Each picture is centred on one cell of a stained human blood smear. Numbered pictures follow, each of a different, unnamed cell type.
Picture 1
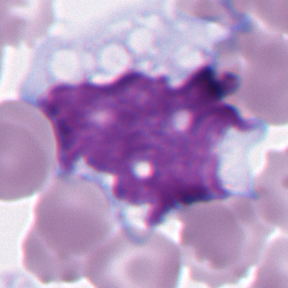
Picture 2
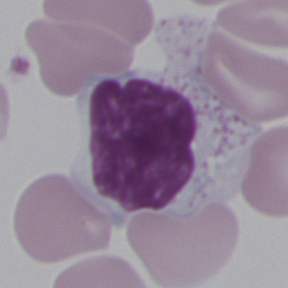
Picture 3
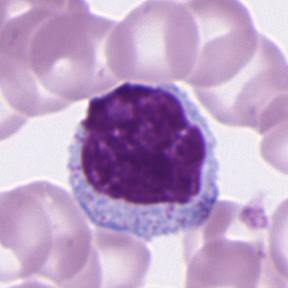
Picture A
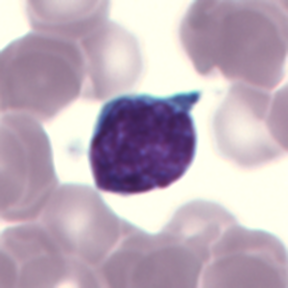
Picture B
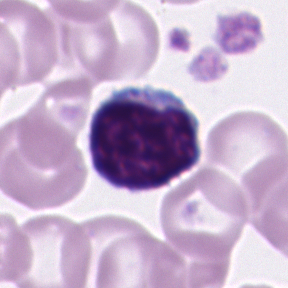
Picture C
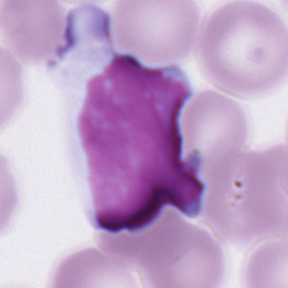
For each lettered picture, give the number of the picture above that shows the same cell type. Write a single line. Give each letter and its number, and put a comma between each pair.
A 3, B 3, C 3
